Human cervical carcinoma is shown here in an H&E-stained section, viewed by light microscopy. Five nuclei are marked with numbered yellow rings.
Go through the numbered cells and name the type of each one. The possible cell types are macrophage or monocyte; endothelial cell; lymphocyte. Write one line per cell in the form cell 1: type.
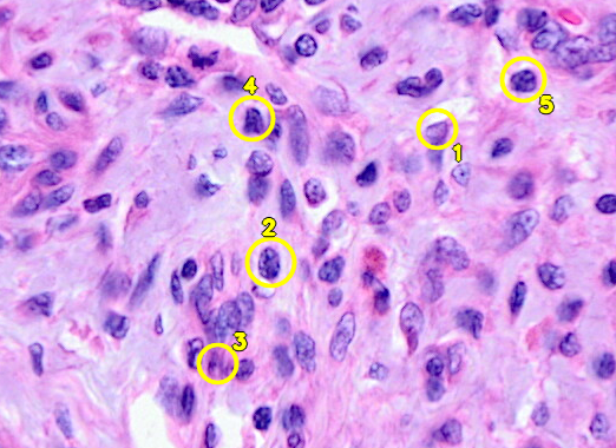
cell 1: macrophage or monocyte
cell 2: lymphocyte
cell 3: endothelial cell
cell 4: lymphocyte
cell 5: lymphocyte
